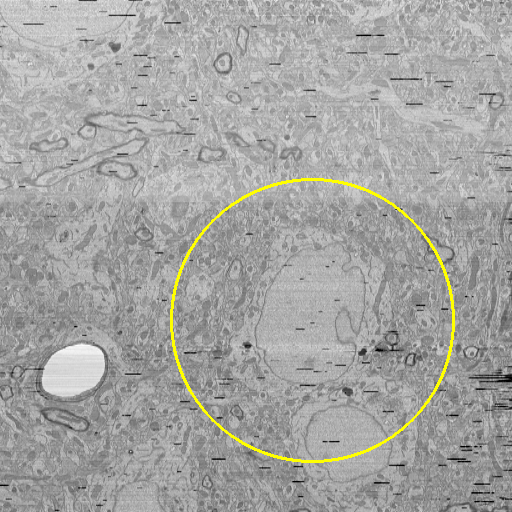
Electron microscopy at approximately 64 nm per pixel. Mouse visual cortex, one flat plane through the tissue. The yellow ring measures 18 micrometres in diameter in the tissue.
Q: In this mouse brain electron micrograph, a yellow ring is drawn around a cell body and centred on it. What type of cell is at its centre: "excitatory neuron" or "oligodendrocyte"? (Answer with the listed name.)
excitatory neuron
